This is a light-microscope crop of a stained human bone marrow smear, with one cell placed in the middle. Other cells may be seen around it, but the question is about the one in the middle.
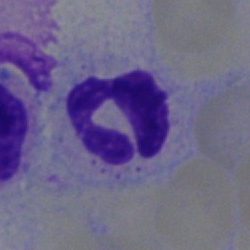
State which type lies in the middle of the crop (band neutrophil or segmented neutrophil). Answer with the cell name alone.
segmented neutrophil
